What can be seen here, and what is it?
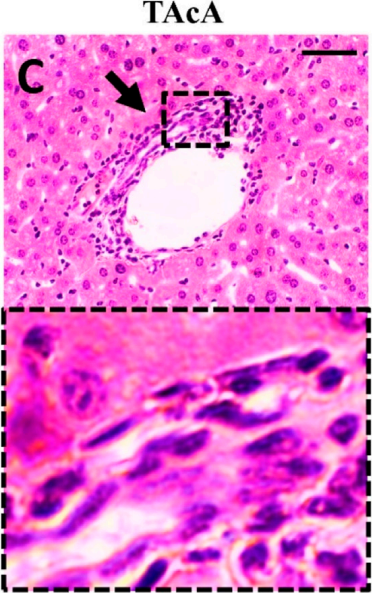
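This is liver tissue with a large vessel at the center, encircled by a dense cuff of small cells with dark purple nuclei, an inflammatory cell infiltrate. These cells pack tightly around the vessel wall and spread a short way into the surrounding tissue, in clear contrast to the larger hepatocytes beyond. The hepatocytes are polygonal with pink cytoplasm and round, pale nuclei that each show a visible nucleolus. The enlarged inset below shows the crowded infiltrating cells closely, with dark, elongated to irregular nuclei and very little cytoplasm.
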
